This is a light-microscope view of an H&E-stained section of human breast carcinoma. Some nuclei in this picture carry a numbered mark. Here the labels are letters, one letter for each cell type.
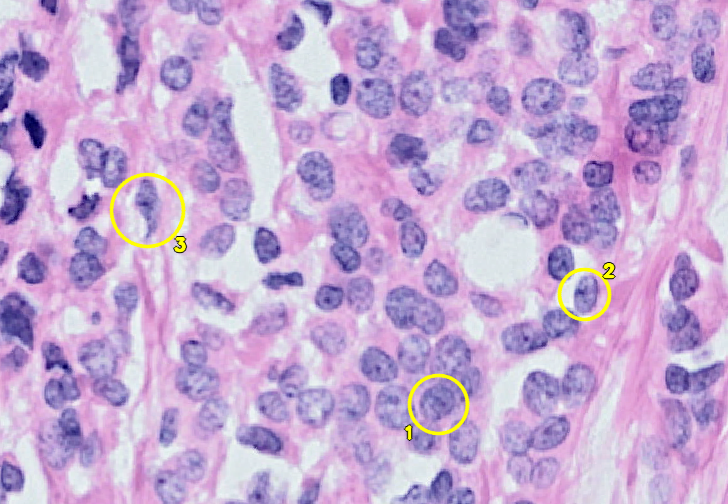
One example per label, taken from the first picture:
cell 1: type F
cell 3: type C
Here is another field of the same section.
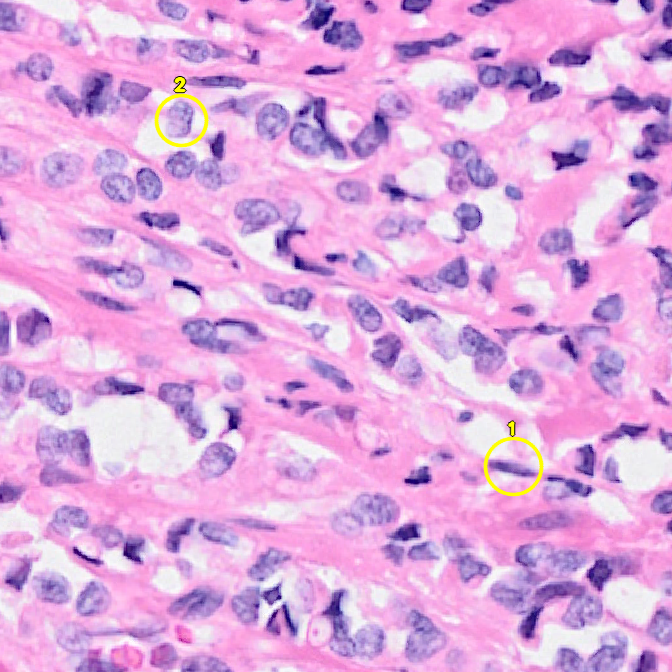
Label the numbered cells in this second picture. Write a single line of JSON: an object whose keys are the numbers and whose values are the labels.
{"1": "type C", "2": "type F"}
